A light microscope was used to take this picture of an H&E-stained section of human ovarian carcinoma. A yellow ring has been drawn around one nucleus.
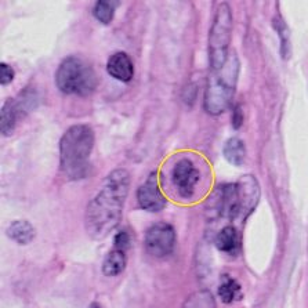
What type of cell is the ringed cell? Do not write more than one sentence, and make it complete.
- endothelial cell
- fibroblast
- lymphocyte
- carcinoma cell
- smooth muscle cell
In terms of identity, the ringed cell is a lymphocyte.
